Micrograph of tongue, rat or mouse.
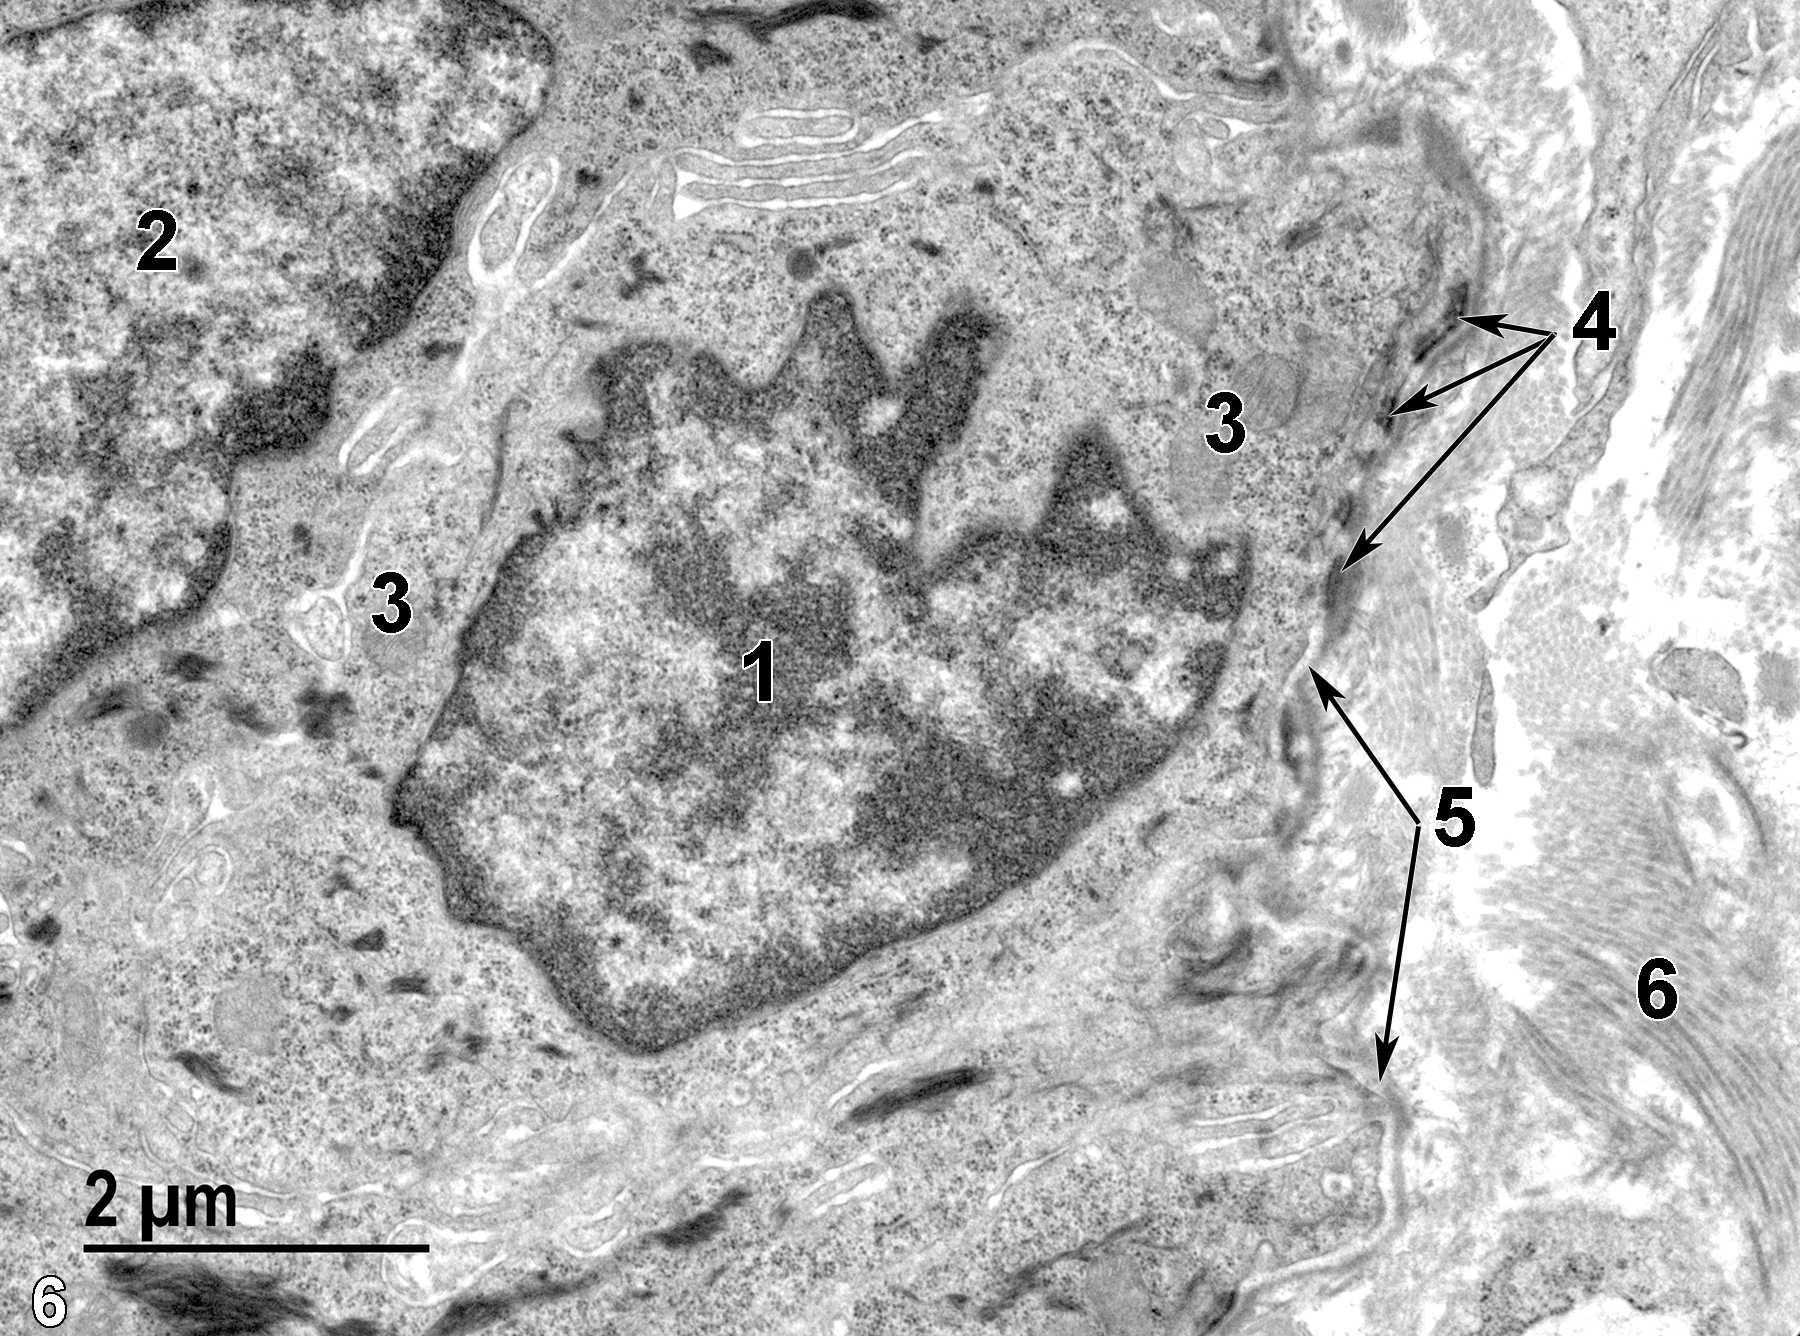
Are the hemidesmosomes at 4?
Yes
